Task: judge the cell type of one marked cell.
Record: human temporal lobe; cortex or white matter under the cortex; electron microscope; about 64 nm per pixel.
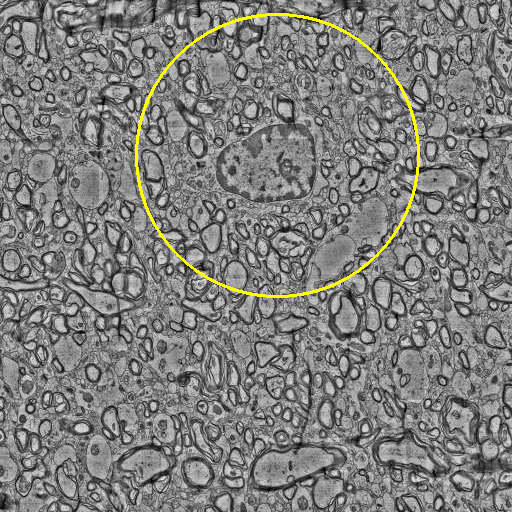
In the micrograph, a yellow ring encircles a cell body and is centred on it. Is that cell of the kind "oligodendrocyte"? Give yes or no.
no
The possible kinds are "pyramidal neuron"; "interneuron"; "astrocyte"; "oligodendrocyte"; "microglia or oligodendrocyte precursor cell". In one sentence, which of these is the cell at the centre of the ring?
It is a microglial cell or oligodendrocyte precursor cell at the centre of the ring.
